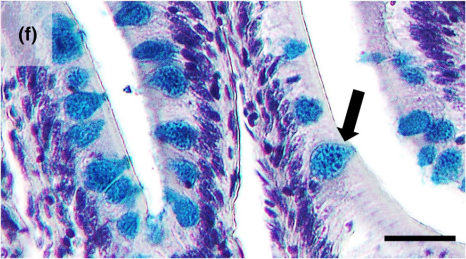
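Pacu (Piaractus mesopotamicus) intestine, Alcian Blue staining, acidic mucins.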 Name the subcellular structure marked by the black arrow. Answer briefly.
cytoplasmic granulation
